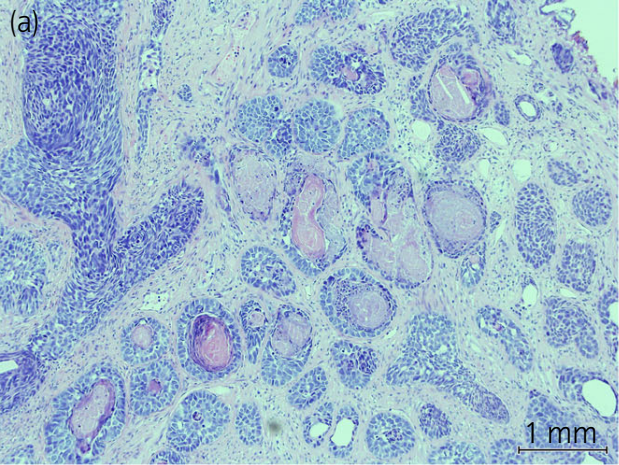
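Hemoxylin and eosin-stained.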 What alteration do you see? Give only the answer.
Multiple large and small nests of basal cell carcinoma.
